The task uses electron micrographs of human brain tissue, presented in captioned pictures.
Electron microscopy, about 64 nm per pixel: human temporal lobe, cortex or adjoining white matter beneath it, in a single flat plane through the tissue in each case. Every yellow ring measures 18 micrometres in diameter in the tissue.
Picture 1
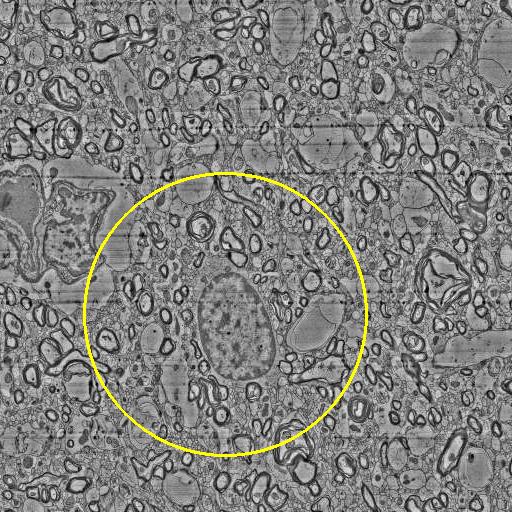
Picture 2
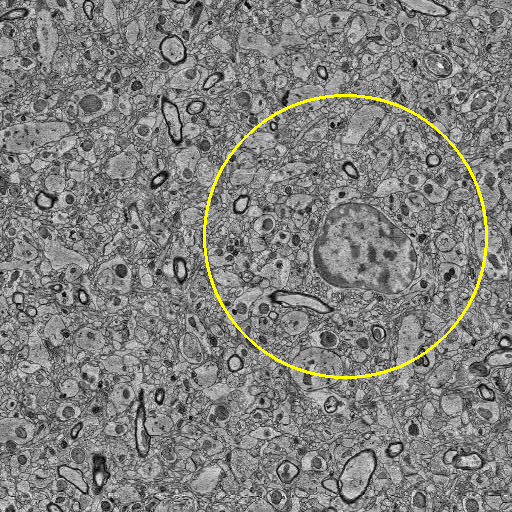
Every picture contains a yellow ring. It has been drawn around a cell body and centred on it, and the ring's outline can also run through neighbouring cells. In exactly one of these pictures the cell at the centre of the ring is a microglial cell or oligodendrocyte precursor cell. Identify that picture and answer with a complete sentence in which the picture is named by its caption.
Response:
The ring in Picture 2 is centred on that kind of cell.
